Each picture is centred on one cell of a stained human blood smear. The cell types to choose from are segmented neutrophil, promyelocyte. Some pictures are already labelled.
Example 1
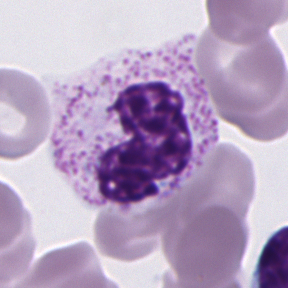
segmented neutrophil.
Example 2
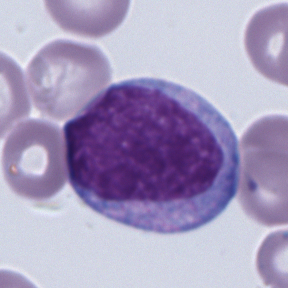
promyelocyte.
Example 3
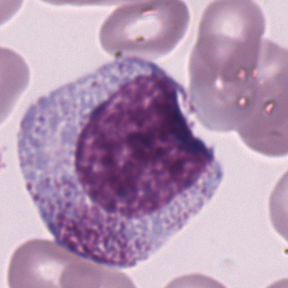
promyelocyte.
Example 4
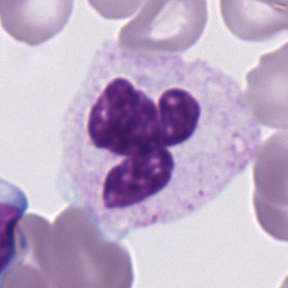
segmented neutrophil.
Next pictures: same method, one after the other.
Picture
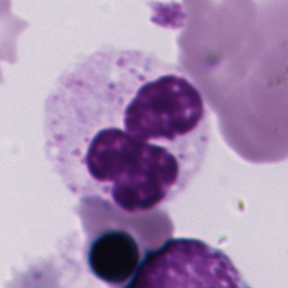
segmented neutrophil.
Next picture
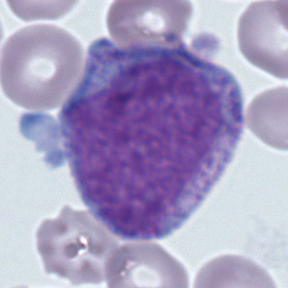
promyelocyte.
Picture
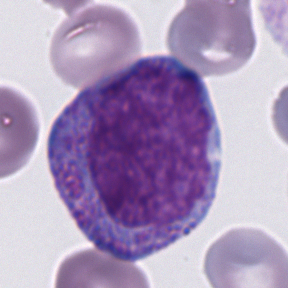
promyelocyte.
